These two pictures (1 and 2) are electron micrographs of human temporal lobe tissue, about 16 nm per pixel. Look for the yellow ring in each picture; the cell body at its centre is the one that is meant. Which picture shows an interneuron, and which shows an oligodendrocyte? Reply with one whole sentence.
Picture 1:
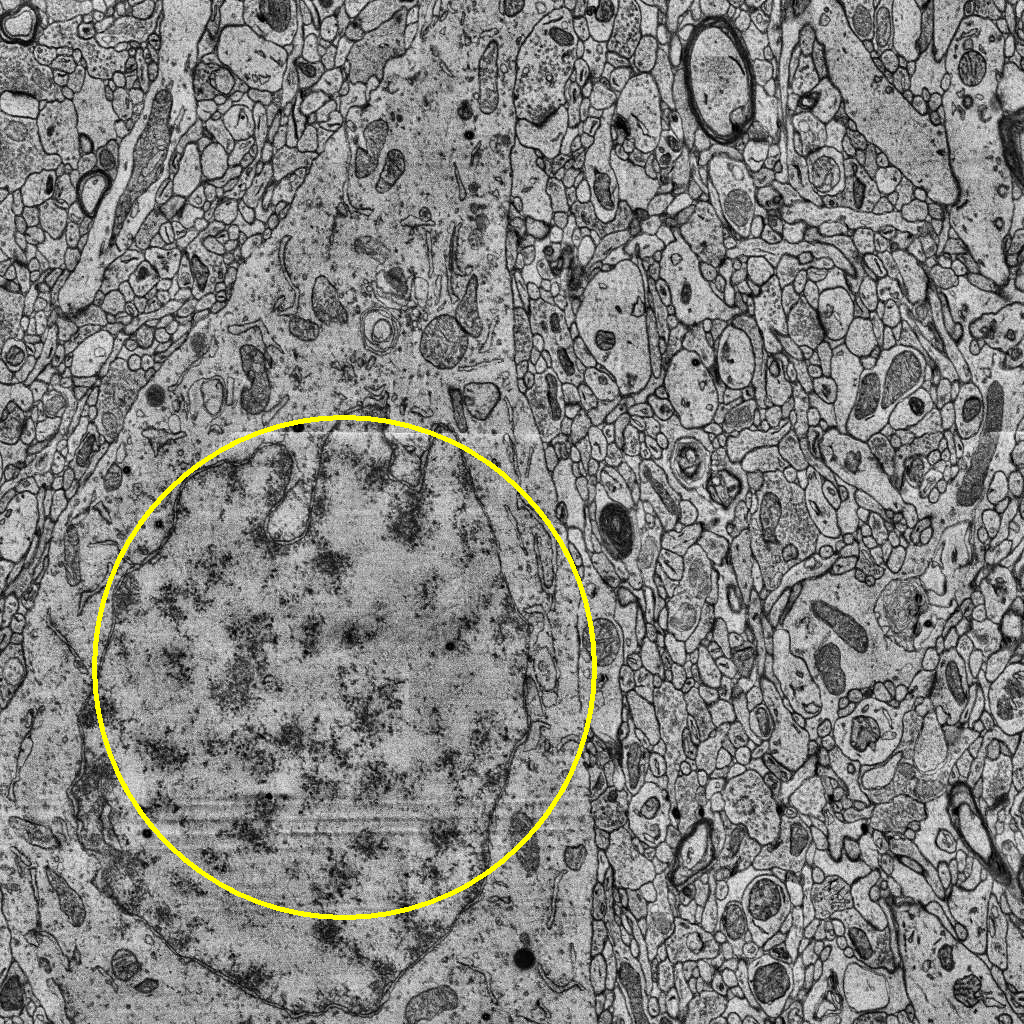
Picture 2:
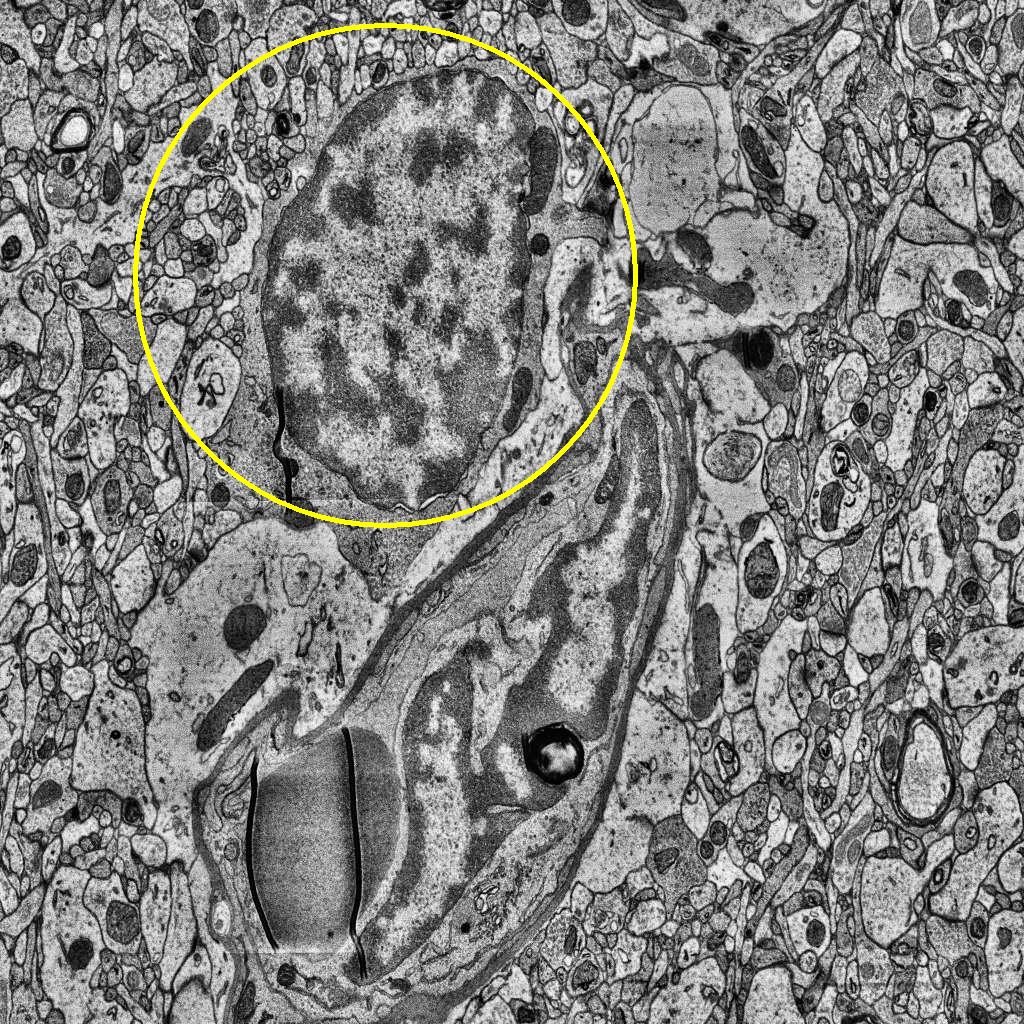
It is picture 1 that shows an interneuron, and picture 2 that shows an oligodendrocyte.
